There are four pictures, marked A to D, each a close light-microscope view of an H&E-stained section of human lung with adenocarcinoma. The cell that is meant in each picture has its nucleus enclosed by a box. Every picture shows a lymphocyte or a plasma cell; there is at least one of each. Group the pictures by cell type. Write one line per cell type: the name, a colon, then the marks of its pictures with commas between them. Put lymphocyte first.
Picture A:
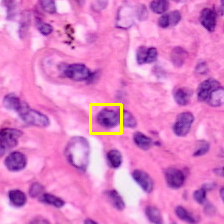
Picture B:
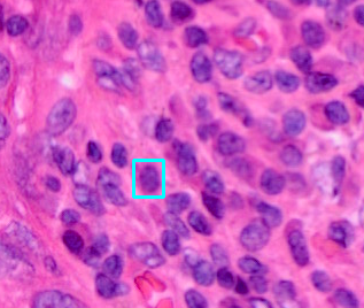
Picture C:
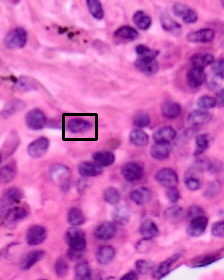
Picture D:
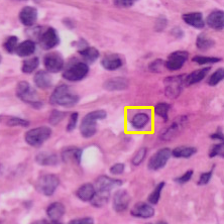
lymphocyte: A, D
plasma cell: B, C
